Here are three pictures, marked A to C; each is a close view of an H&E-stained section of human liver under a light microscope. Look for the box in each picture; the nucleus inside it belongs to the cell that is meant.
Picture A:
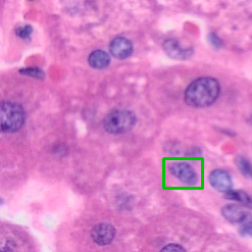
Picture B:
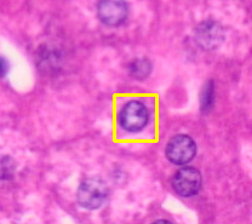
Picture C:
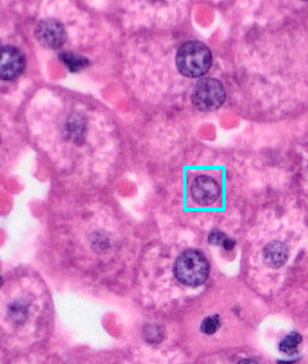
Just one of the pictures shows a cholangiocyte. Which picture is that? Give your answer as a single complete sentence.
Picture A is the one that shows the cholangiocyte.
